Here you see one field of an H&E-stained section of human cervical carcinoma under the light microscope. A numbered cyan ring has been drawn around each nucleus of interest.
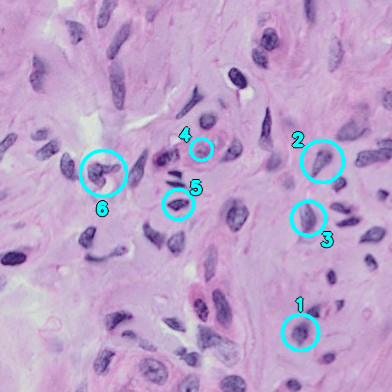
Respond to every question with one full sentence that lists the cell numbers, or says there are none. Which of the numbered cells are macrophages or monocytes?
Nothing but cell 6 is a macrophage or monocyte among the numbered ones.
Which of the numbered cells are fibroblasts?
The cells with the number labels 1, 2, 3 and 5 are fibroblasts.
